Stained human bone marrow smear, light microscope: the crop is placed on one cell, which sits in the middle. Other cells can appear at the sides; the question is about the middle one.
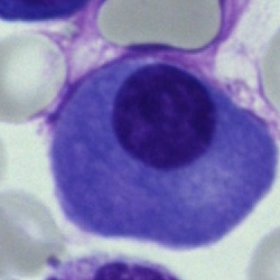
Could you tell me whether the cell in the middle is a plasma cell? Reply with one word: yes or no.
yes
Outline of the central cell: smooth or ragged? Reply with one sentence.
Its surface contour is regular and smooth, without any protrusions.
